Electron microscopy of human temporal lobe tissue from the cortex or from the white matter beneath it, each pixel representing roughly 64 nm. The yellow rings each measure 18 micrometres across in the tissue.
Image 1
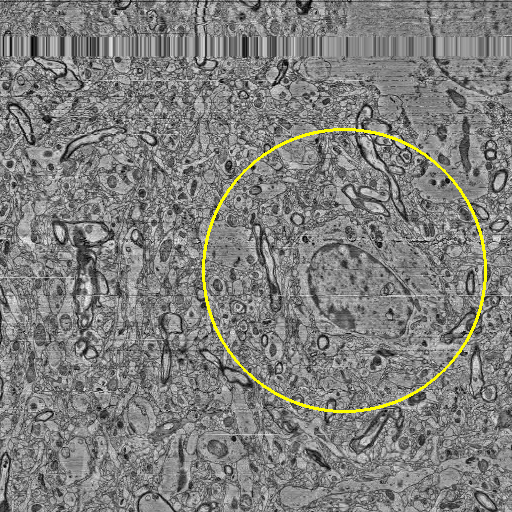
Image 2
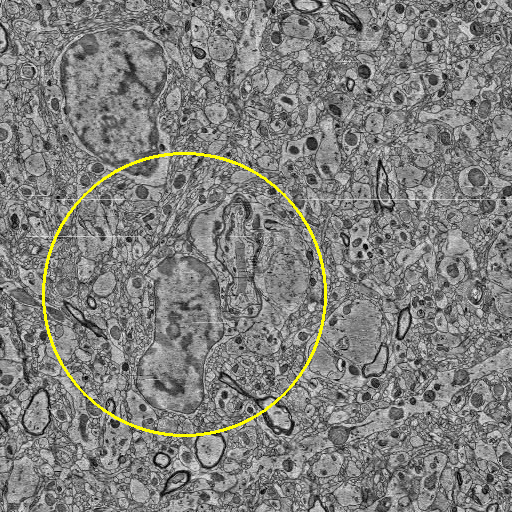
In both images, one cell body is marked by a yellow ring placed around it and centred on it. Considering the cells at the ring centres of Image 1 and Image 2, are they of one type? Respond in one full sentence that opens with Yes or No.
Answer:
Yes, a single type applies to the ring-centred cells of both Image 1 and Image 2.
